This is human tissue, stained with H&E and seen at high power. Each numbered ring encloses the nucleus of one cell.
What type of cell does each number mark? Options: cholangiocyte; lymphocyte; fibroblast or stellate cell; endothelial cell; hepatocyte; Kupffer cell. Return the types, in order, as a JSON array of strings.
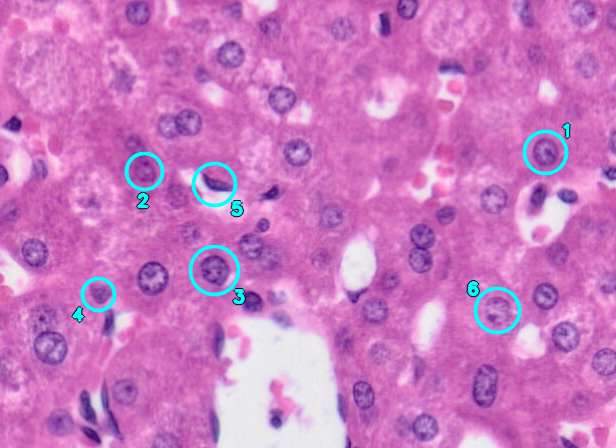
["hepatocyte", "hepatocyte", "hepatocyte", "fibroblast or stellate cell", "endothelial cell", "hepatocyte"]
